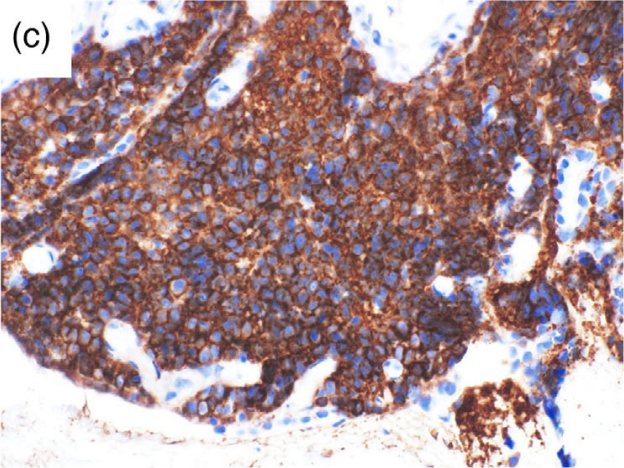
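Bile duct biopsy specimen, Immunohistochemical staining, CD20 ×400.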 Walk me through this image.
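Here a dense sheet of lymphocytes is stained so that nearly every cell is outlined in brown. The brown colour lies at the cell membranes and cytoplasm, giving a honeycomb look around the blue-counterstained nuclei. The nuclei are round to oval and crowded against one another. Thin unstained channels of small vessels run through and around the sheet, lined by flat pale cells. The near-complete staining of the infiltrate shows that the cells are one uniform population.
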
